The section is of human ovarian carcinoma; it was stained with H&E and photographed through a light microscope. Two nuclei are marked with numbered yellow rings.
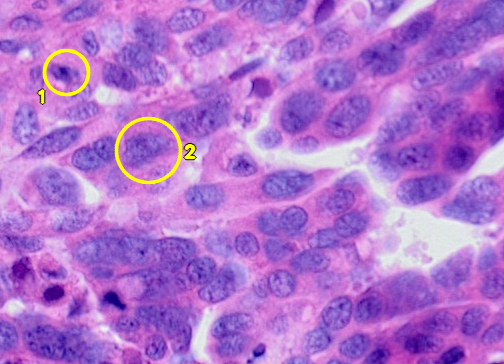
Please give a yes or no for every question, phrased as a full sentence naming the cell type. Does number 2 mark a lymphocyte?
No, rather than a lymphocyte, cell number 2 is a carcinoma cell.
